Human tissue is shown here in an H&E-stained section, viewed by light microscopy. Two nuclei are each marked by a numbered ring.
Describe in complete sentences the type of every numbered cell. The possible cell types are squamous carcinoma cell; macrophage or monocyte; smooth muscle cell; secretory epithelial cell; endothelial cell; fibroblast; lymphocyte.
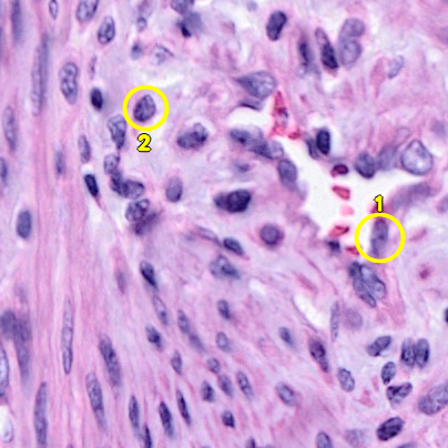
Cell 1 is an endothelial cell and cell 2 is a lymphocyte.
